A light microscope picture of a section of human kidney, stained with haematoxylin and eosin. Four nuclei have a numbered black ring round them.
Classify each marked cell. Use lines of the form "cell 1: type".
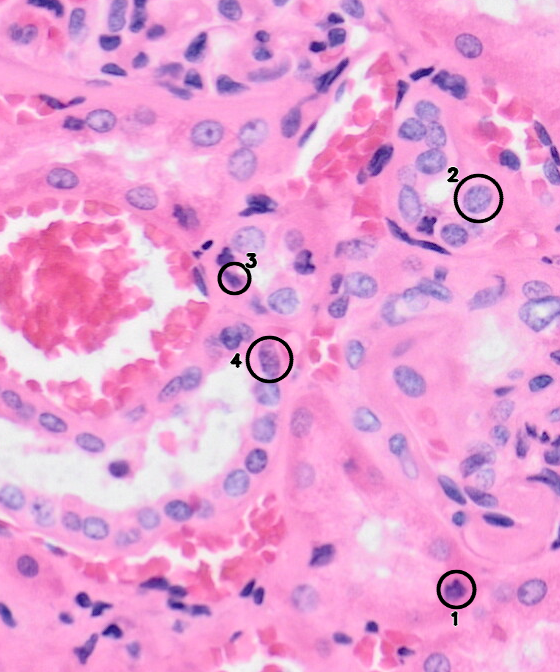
cell 1: proximal tubule cell
cell 2: collecting duct cell
cell 3: collecting duct cell
cell 4: collecting duct cell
